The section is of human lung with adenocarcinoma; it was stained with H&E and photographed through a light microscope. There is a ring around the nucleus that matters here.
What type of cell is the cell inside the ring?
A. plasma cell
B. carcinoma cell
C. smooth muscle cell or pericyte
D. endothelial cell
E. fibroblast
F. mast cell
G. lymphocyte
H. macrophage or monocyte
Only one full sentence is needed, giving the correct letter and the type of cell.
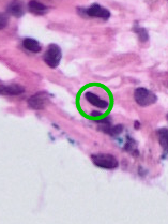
The correct response is option G: the cell inside the ring is a lymphocyte.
